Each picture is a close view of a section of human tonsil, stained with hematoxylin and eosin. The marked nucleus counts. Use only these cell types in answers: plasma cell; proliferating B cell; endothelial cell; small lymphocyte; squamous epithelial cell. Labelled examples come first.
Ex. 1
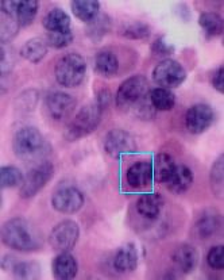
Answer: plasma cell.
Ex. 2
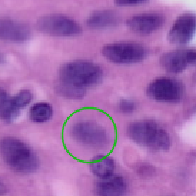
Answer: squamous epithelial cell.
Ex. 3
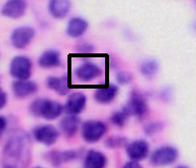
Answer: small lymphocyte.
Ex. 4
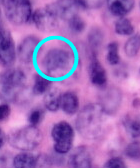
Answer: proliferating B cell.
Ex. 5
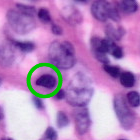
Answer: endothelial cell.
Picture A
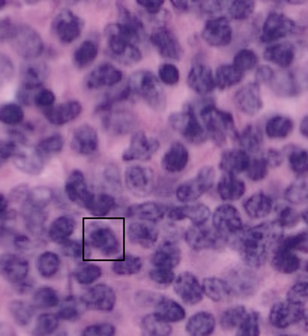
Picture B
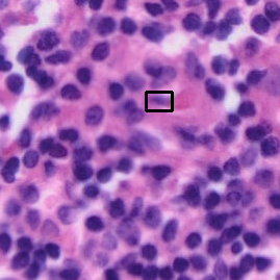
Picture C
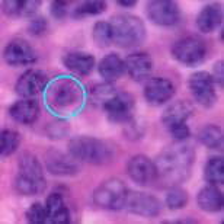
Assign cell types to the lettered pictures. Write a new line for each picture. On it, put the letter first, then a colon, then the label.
A: small lymphocyte.
B: endothelial cell.
C: plasma cell.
